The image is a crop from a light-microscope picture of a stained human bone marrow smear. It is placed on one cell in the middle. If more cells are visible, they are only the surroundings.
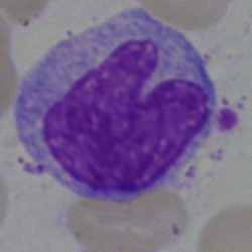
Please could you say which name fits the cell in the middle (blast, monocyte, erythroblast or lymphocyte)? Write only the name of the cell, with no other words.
monocyte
